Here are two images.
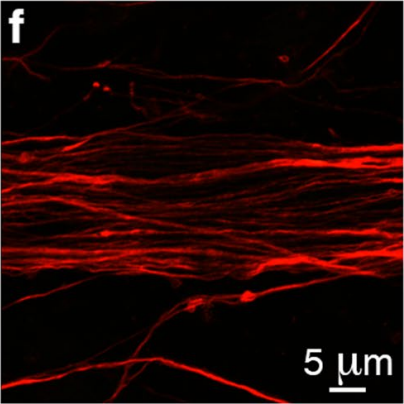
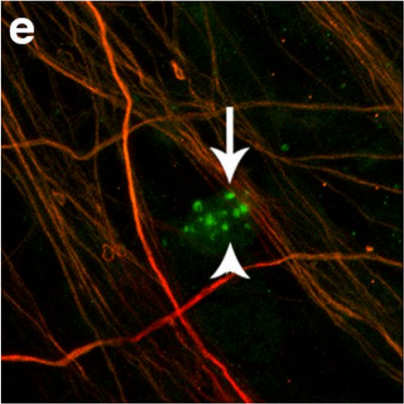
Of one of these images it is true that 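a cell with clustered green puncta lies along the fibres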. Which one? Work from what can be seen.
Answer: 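First image: only red fibres are visible, with no green puncta. Second image: a cluster of bright green puncta sits beside a bundle of red fibres. The answer: the second image.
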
